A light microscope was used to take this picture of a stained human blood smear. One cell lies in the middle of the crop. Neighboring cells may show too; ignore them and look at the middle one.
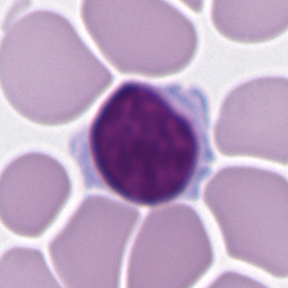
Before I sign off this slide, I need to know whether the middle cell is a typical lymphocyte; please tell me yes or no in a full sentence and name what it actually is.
Yes, what sits in the centre of the crop is a typical lymphocyte.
